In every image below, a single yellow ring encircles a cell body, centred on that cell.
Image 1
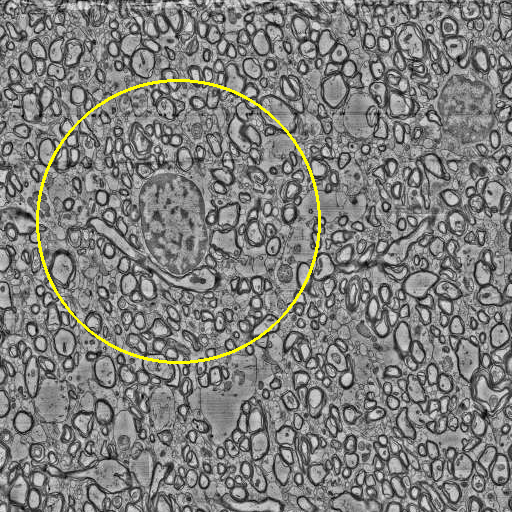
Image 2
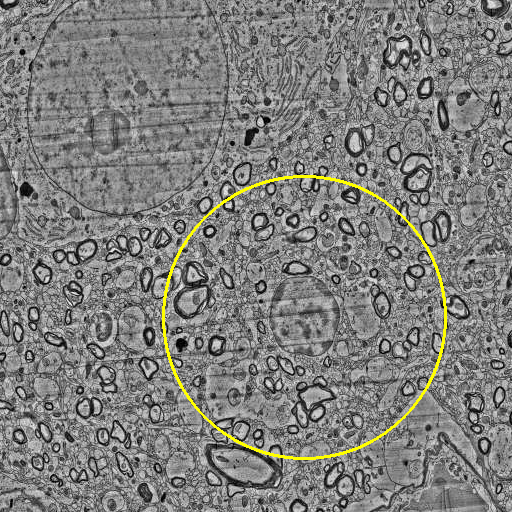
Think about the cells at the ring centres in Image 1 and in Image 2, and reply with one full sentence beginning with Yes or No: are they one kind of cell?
Yes, the cells centred in the rings of Image 1 and Image 2 are one kind of cell.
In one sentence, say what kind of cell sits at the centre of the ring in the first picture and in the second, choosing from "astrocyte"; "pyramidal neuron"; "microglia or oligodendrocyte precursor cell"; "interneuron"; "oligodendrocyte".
Both pictures show a microglial cell or oligodendrocyte precursor cell at the centre of the ring.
